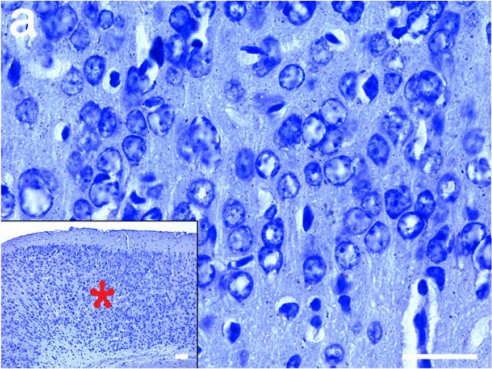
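This is cerebral cortex in a Nissl stain, with neurons packed fairly evenly through the field. Most neuronal cell bodies are round to oval, with a pale, roomy nucleus and a distinct dark blue nucleolus. The cytoplasm forms a blue rim around the nucleus, and the cells sit directly in the pale neuropil without wide clear gaps around them. A few smaller, darker elongated nuclei are scattered between the neurons. The low-power inset shows the cortical layers with the examined area marked by an asterisk.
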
